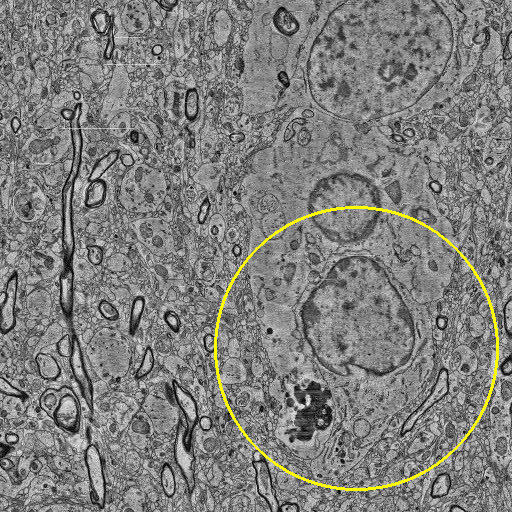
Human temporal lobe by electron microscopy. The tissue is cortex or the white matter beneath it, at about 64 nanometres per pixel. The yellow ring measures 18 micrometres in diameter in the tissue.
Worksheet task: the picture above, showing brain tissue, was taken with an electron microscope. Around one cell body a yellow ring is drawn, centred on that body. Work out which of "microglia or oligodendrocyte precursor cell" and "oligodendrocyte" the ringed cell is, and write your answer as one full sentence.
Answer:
It is a microglial cell or oligodendrocyte precursor cell whose cell body lies at the centre of the yellow ring.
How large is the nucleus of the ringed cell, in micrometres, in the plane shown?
In this plane the nucleus measures roughly 8 by 7 micrometers.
